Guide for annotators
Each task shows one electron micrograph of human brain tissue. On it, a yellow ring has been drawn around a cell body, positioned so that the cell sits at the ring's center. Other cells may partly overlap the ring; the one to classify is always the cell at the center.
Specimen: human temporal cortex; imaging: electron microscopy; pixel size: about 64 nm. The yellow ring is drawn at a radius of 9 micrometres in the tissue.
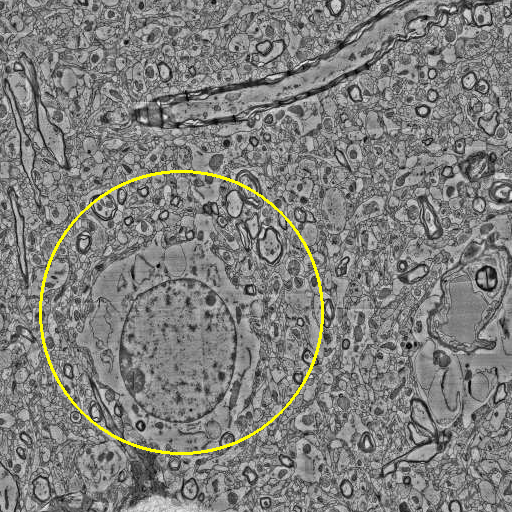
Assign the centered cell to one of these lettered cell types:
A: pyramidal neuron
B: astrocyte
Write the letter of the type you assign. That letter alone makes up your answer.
B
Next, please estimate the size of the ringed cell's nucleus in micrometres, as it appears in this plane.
The ringed cell's nucleus is about 9 micrometres long and 7 micrometres wide in this plane.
